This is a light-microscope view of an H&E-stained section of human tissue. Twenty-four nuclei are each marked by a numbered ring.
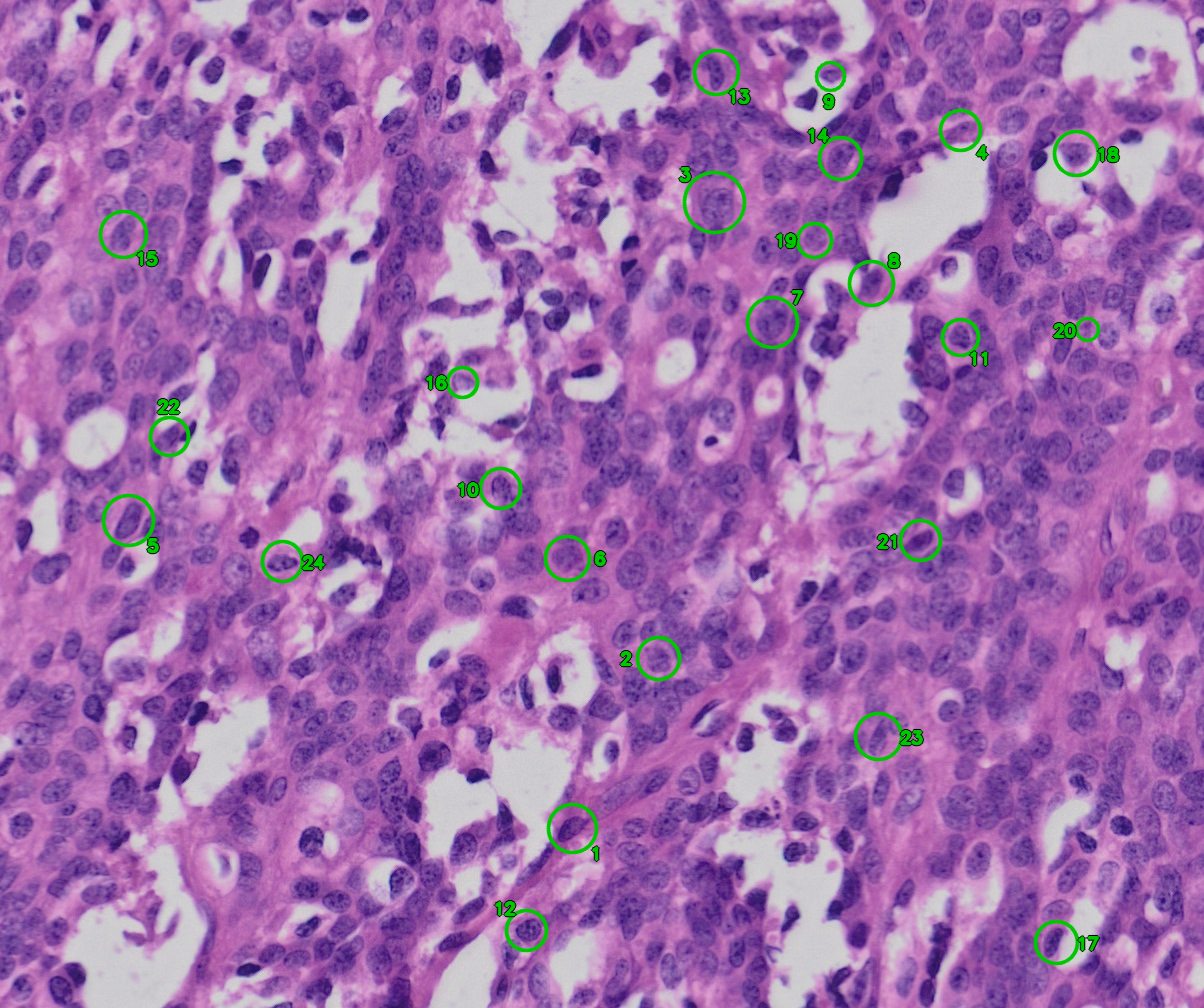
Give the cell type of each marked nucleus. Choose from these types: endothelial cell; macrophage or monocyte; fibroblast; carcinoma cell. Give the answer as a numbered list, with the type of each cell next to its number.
1. endothelial cell
2. macrophage or monocyte
3. carcinoma cell
4. macrophage or monocyte
5. carcinoma cell
6. carcinoma cell
7. carcinoma cell
8. carcinoma cell
9. macrophage or monocyte
10. macrophage or monocyte
11. macrophage or monocyte
12. macrophage or monocyte
13. macrophage or monocyte
14. carcinoma cell
15. macrophage or monocyte
16. macrophage or monocyte
17. macrophage or monocyte
18. macrophage or monocyte
19. carcinoma cell
20. carcinoma cell
21. carcinoma cell
22. carcinoma cell
23. carcinoma cell
24. macrophage or monocyte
